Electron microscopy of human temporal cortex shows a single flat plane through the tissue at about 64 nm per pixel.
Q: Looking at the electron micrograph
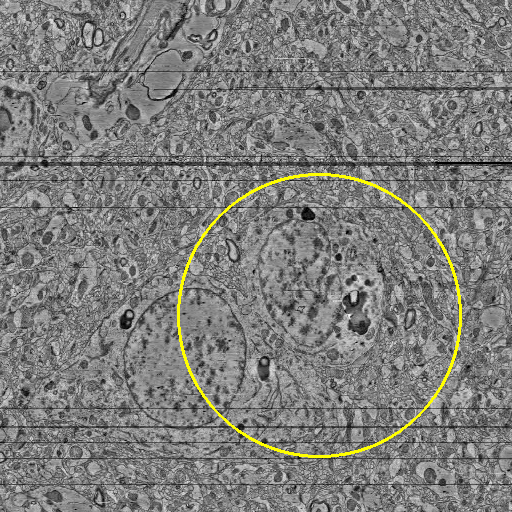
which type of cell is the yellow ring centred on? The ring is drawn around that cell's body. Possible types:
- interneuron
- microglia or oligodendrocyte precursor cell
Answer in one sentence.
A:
The yellow ring is centred on an interneuron.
